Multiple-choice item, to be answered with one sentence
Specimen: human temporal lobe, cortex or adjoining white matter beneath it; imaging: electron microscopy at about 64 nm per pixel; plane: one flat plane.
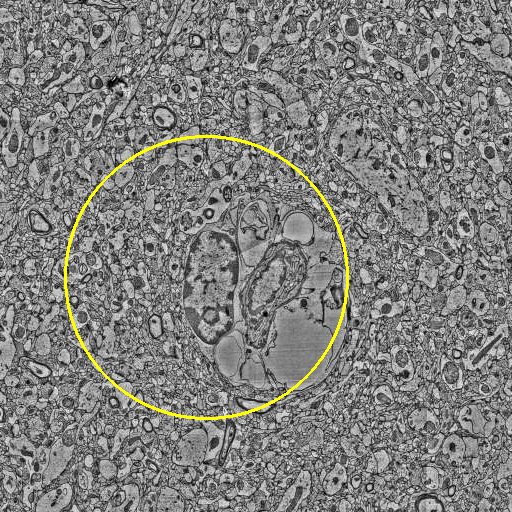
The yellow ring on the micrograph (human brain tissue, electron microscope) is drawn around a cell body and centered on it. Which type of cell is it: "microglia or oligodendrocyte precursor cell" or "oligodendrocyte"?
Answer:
The ring is centered on a microglial cell or oligodendrocyte precursor cell.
